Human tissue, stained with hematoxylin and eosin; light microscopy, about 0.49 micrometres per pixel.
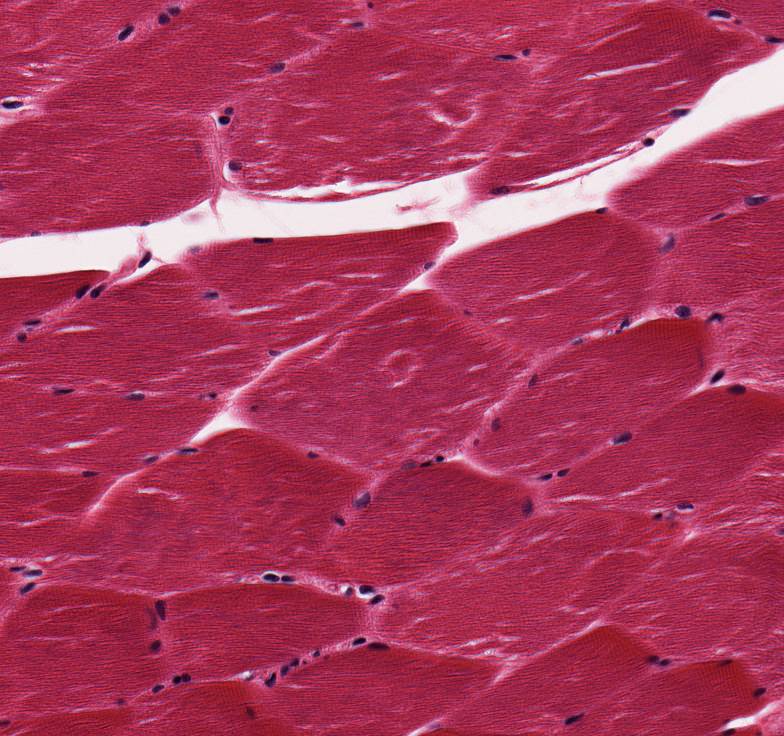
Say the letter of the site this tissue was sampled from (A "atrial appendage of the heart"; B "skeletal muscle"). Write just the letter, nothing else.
B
